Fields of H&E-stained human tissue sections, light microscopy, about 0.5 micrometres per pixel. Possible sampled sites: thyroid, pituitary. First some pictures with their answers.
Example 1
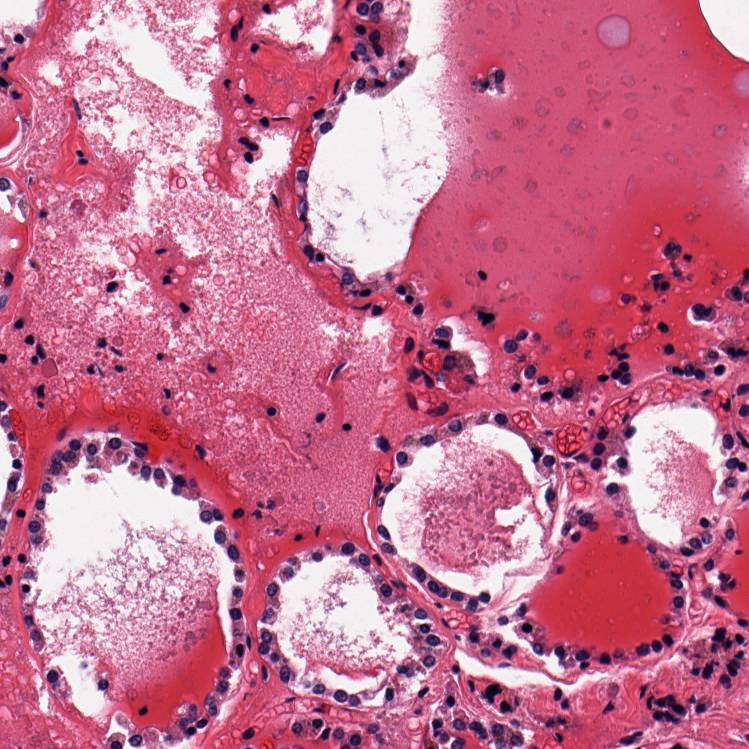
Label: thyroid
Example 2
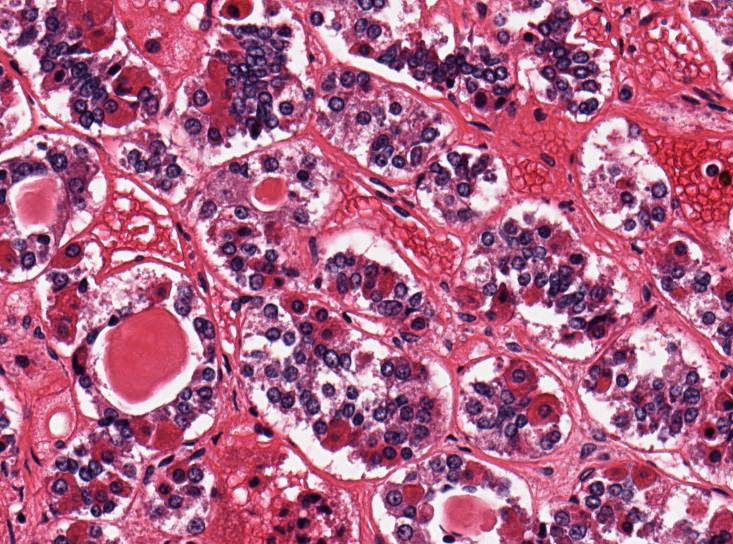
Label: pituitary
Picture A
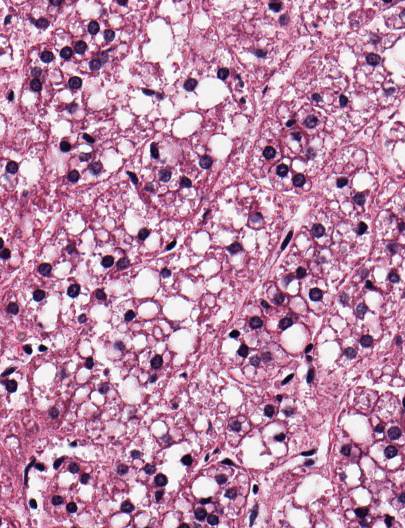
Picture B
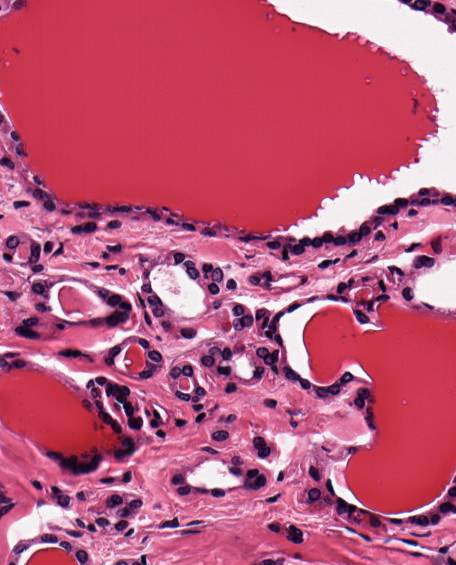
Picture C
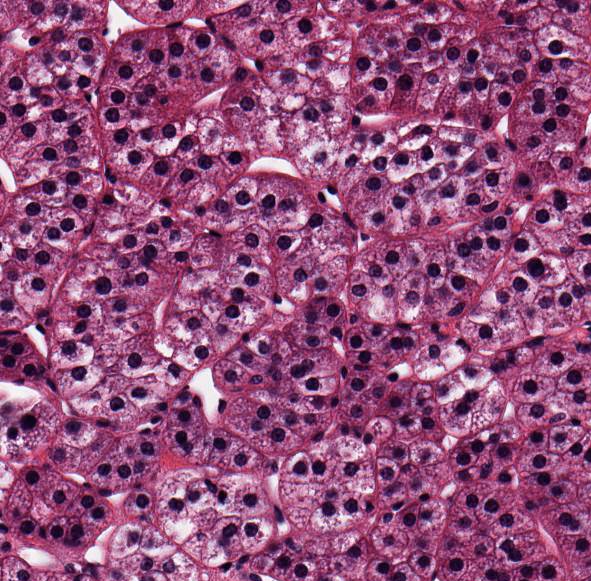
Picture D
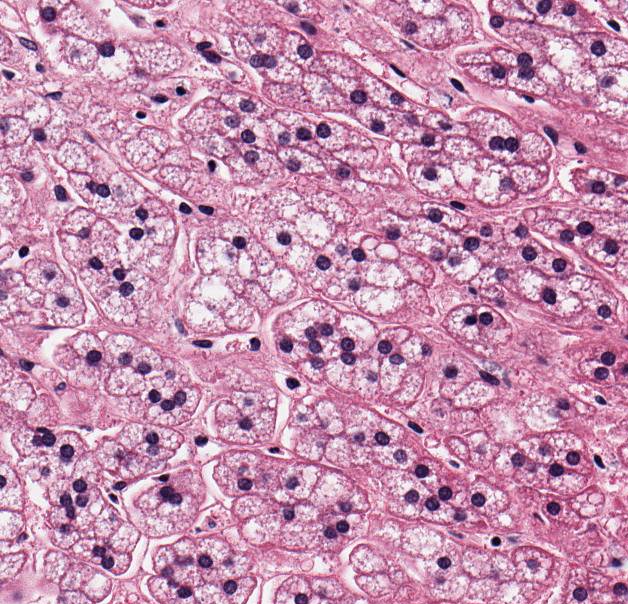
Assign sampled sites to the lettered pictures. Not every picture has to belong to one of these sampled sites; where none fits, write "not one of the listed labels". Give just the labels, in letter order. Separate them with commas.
not one of the listed labels, thyroid, not one of the listed labels, not one of the listed labels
